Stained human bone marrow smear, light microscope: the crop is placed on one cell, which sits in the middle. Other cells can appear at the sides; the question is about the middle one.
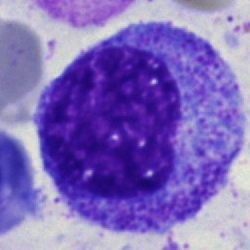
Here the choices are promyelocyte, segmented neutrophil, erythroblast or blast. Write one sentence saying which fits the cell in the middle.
The cell of interest, in the center, is a promyelocyte.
